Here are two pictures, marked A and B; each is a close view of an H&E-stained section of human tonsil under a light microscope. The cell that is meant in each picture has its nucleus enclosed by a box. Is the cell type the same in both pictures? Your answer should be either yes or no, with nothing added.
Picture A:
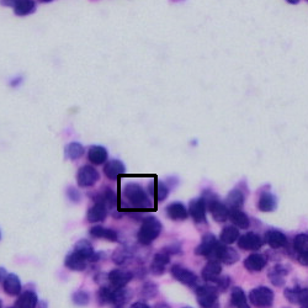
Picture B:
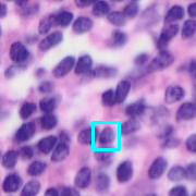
yes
